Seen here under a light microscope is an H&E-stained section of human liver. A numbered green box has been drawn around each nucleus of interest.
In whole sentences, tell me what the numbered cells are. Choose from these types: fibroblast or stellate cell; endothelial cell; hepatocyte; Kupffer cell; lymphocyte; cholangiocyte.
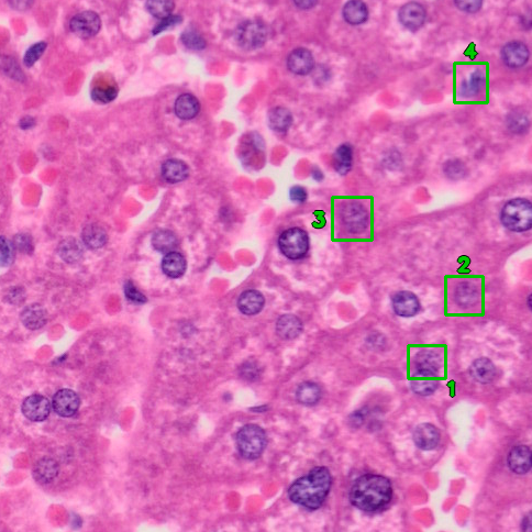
Cell 1 is a hepatocyte, cell 2 is a hepatocyte, cell 3 is a hepatocyte and cell 4 is an endothelial cell.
